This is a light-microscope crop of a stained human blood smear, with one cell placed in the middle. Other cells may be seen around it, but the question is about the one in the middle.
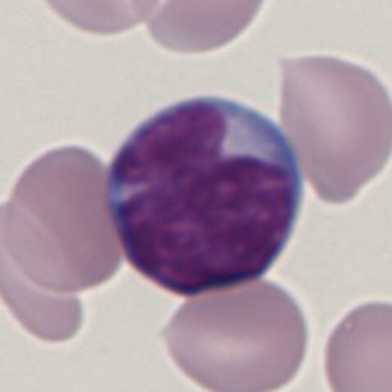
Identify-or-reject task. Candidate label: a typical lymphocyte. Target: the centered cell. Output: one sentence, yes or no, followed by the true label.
Yes, the cell in the middle has the identity of a typical lymphocyte.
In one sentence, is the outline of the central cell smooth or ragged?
Smooth all around, the outline has no projections to report.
